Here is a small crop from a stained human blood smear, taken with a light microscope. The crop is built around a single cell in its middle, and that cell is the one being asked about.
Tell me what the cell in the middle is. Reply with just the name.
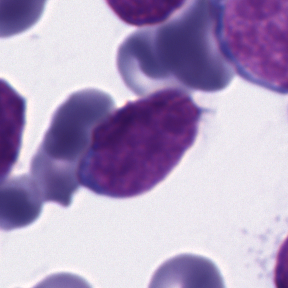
blast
